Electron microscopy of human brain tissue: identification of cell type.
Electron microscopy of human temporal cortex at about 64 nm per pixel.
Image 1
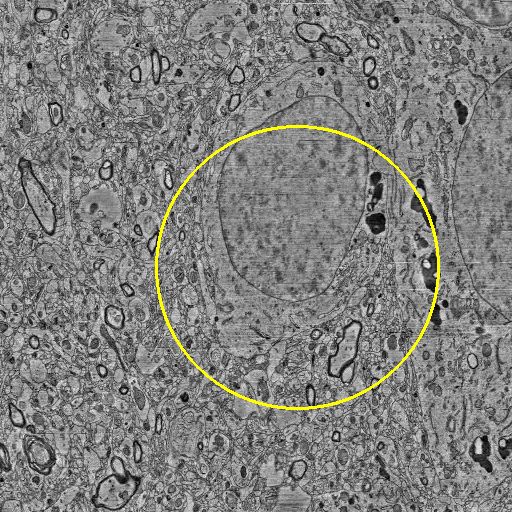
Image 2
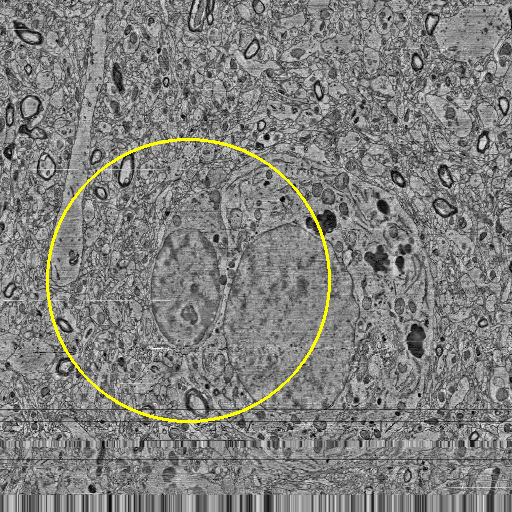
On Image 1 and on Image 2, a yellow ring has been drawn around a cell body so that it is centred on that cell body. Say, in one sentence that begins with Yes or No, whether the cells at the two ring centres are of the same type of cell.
No, the two cells are two separate types of cell.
